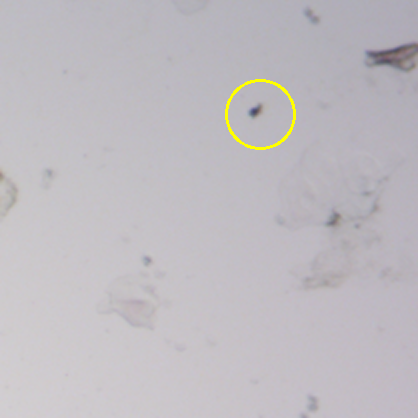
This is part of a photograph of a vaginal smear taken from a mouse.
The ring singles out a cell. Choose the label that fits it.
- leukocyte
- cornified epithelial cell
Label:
leukocyte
